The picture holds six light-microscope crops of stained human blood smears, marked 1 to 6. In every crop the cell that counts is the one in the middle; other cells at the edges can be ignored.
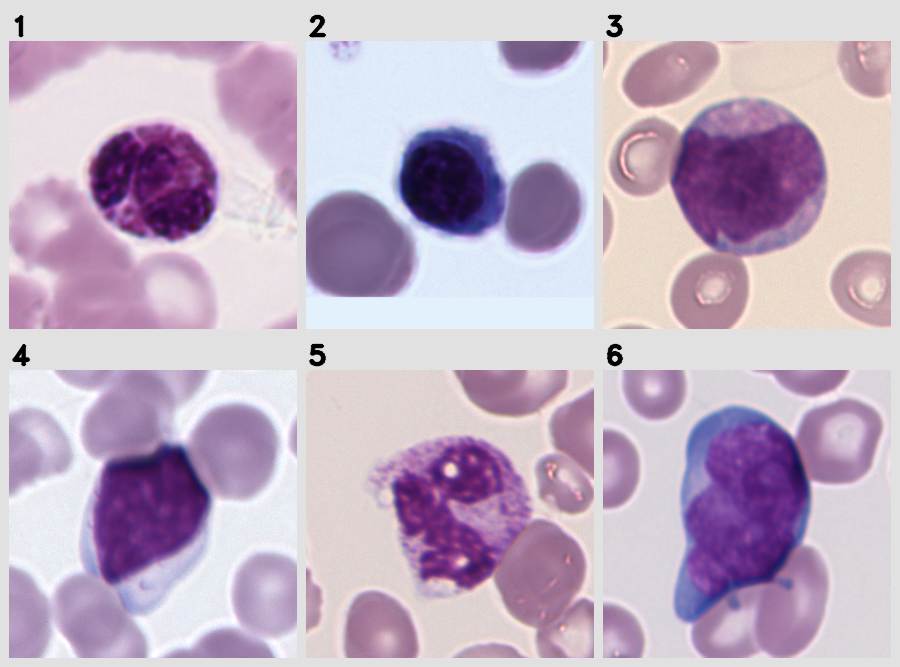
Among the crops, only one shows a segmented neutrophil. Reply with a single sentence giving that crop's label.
The crop showing a segmented neutrophil in this series is crop 5.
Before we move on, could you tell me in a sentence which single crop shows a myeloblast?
Crop 6 is the one in this set that shows a myeloblast.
